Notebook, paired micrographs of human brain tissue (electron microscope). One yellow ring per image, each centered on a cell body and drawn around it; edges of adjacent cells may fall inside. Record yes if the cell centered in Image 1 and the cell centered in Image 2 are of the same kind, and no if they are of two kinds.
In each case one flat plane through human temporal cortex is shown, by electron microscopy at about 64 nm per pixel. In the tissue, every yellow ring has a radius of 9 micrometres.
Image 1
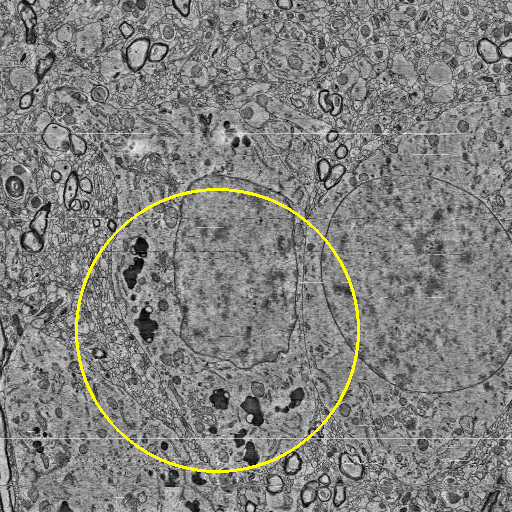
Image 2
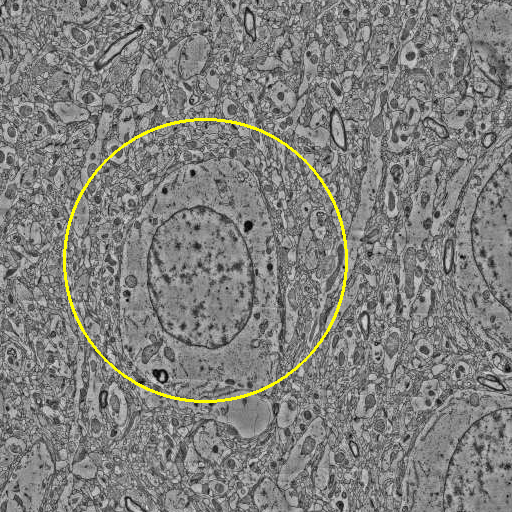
no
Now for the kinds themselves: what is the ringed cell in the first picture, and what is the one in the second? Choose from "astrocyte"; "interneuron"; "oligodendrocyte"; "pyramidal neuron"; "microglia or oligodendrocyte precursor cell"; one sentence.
Here the first cell is an interneuron and the second cell is a pyramidal neuron.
